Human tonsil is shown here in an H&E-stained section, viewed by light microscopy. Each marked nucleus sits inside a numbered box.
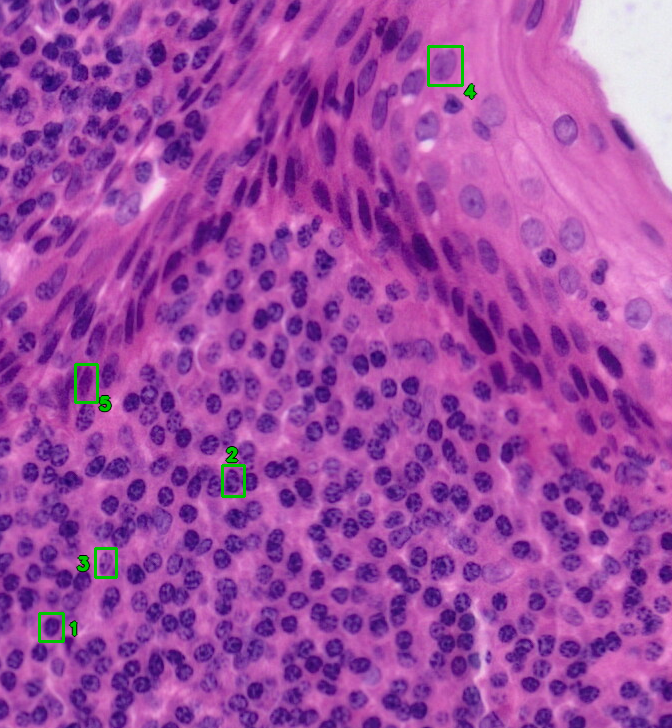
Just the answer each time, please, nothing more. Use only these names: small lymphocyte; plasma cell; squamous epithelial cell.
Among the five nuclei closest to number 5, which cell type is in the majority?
squamous epithelial cell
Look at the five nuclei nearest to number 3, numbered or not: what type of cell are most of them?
plasma cell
